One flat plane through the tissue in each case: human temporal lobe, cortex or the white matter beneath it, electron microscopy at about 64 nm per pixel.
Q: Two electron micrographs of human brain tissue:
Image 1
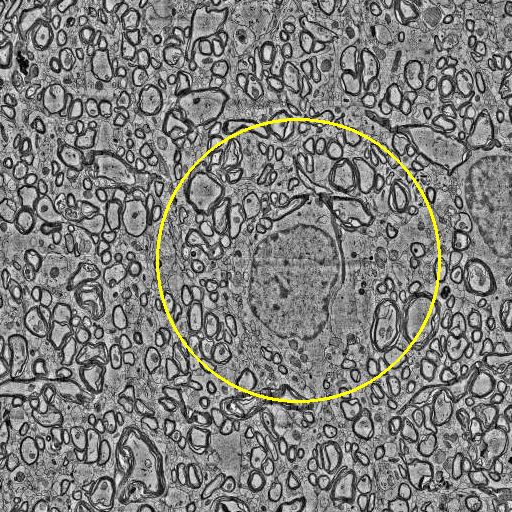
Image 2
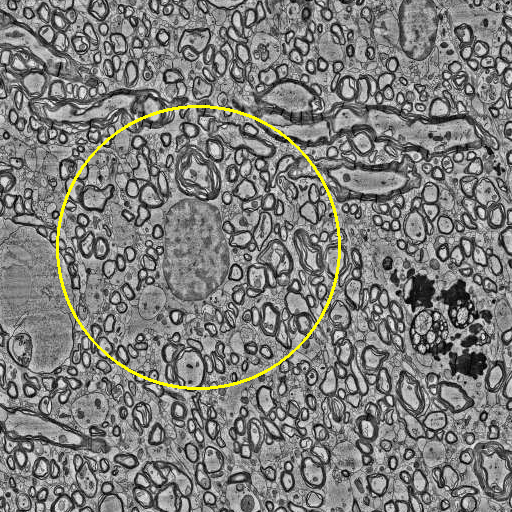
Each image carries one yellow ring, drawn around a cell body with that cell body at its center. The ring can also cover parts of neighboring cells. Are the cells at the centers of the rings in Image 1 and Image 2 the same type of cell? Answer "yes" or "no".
no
